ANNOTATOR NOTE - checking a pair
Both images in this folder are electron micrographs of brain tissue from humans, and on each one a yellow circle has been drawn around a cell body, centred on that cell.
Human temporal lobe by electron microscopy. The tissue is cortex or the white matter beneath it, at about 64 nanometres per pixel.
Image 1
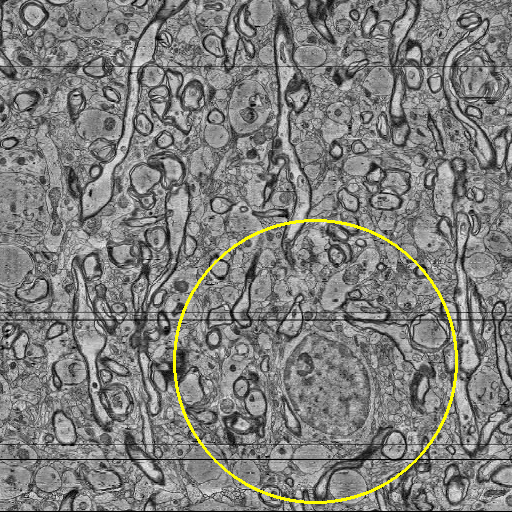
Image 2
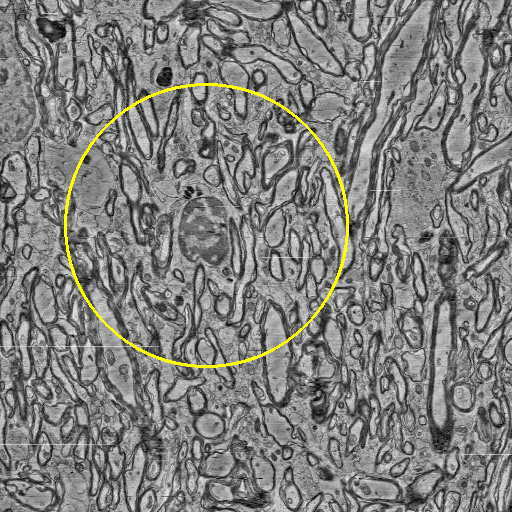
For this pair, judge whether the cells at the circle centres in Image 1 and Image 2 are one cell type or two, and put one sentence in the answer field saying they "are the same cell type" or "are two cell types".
For this pair, the cells at the circle centres in Images 1 and 2 are two cell types.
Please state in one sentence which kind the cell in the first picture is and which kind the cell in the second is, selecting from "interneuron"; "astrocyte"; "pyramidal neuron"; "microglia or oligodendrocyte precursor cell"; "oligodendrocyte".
The first ringed cell is an oligodendrocyte, the second ringed cell a microglial cell or oligodendrocyte precursor cell.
